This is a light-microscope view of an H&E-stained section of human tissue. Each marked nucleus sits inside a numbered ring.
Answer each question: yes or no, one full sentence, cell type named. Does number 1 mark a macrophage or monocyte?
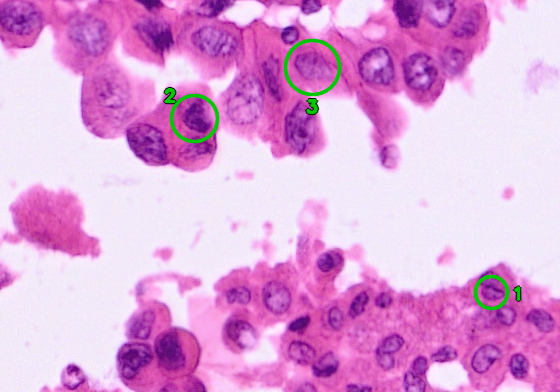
Yes, the cell numbered 1 in this tissue is a macrophage or monocyte.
